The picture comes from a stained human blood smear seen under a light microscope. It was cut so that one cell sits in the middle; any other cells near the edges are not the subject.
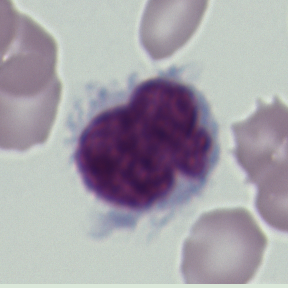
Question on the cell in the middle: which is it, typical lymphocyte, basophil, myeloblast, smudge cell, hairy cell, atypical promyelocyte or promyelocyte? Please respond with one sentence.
The cell occupying the middle of the crop is a hairy cell.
